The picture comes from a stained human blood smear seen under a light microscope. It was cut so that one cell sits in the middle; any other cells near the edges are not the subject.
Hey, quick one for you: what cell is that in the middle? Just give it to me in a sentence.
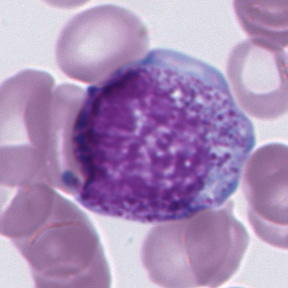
Here the cell in the middle is a myelocyte.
